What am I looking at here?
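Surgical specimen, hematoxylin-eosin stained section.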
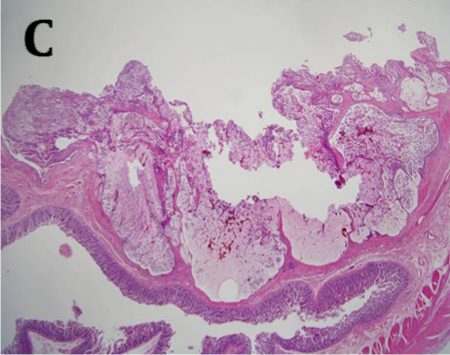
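This low-power section shows predominant pools of extracellular mucin in which neoplastic cells are suspended. The mucin fills a large irregular space and appears pale pink to faintly bluish. Fragments, nests and strips of cells float within it, with occasional small reddish flecks. Beneath the mucin runs a folded band of tall columnar epithelium with dark, closely packed nuclei. Pink fibrous tissue lies along the edges of the field.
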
